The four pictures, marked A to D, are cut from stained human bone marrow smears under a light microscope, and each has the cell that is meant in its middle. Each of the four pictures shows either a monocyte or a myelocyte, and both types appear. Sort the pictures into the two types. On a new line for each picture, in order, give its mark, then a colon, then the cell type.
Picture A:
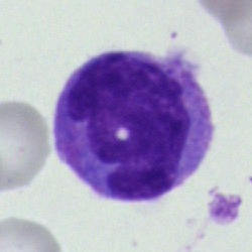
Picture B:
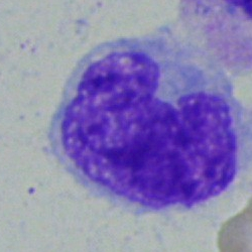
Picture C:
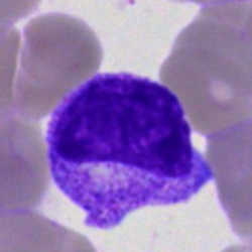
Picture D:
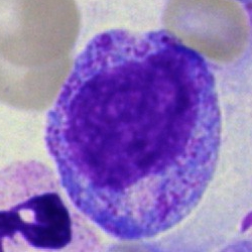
A: monocyte
B: monocyte
C: myelocyte
D: myelocyte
